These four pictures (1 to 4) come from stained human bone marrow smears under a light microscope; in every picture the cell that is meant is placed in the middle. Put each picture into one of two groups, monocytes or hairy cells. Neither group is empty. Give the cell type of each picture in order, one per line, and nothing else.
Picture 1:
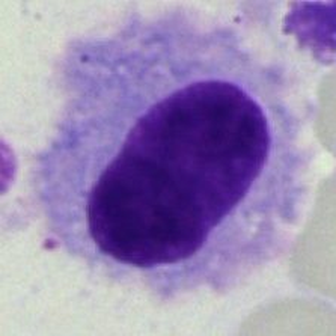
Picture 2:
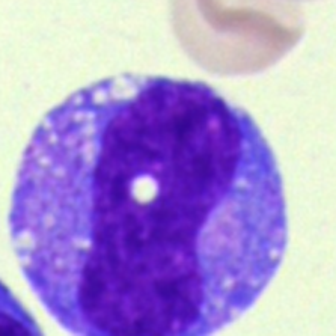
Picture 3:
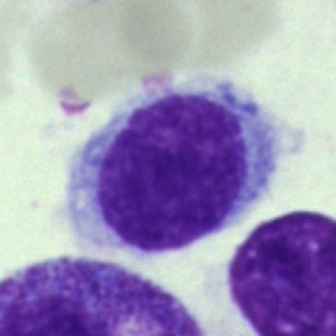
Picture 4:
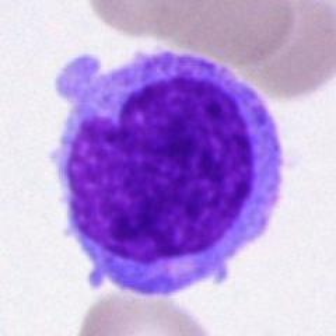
hairy cell
monocyte
hairy cell
monocyte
